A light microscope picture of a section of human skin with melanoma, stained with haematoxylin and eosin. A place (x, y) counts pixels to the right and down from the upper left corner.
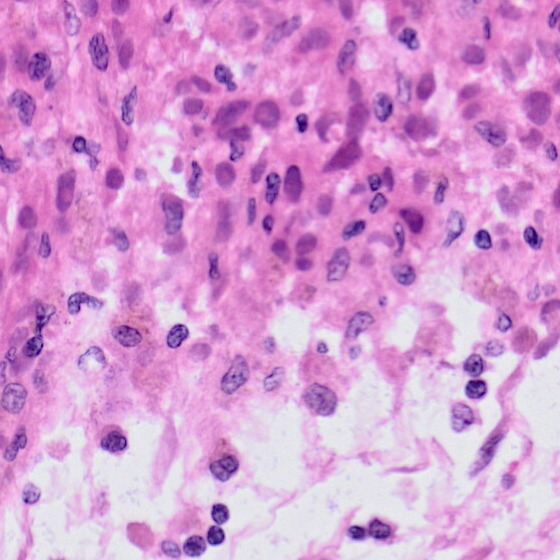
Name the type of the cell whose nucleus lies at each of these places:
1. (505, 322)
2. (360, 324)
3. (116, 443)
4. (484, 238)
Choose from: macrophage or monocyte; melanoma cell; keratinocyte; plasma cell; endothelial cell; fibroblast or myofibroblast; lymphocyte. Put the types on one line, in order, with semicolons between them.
macrophage or monocyte; macrophage or monocyte; macrophage or monocyte; lymphocyte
